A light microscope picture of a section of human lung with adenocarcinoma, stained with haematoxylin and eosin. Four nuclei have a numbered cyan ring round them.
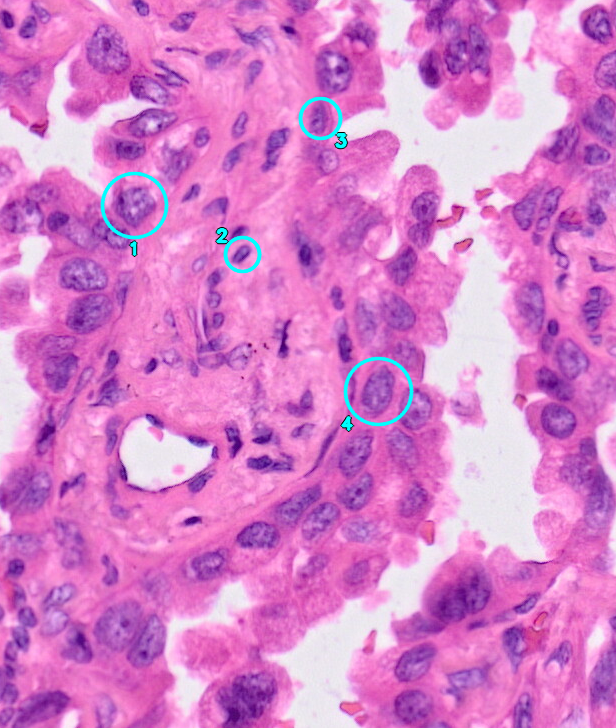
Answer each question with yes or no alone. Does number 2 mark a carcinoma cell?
no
